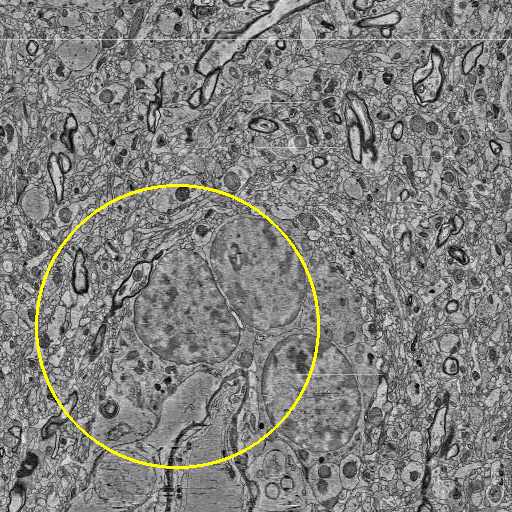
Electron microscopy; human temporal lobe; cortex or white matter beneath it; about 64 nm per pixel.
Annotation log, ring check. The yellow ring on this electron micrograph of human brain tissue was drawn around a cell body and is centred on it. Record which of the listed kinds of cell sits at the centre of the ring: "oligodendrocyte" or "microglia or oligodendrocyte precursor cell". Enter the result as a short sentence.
The cell at the centre of the ring is an oligodendrocyte.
